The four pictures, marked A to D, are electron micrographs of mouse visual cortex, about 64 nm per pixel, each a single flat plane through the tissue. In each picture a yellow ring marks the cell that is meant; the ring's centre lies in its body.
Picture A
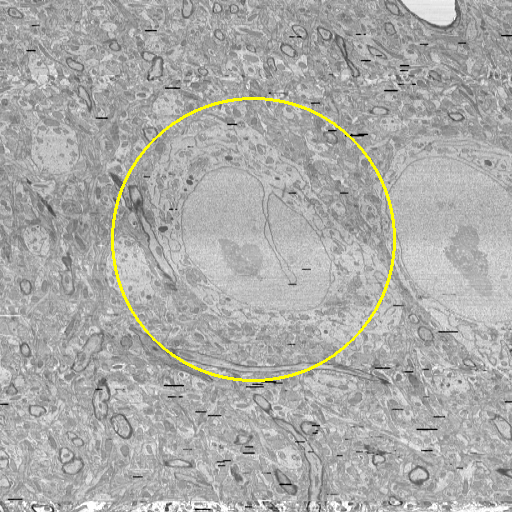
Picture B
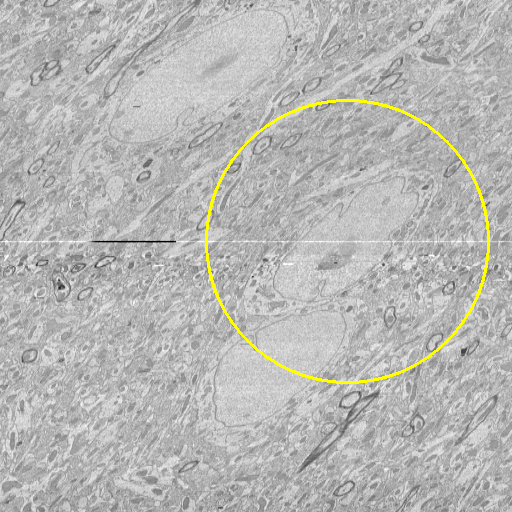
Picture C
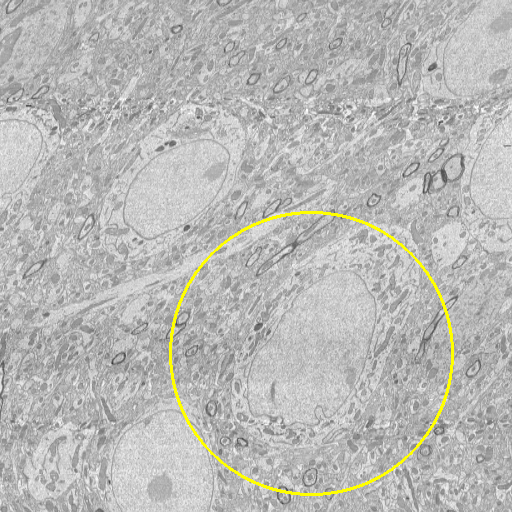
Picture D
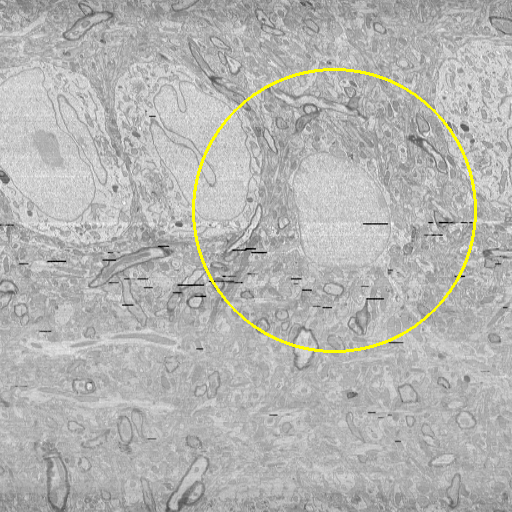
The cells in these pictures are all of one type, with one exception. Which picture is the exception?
The others show inhibitory neurons, but picture D shows an astrocyte.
